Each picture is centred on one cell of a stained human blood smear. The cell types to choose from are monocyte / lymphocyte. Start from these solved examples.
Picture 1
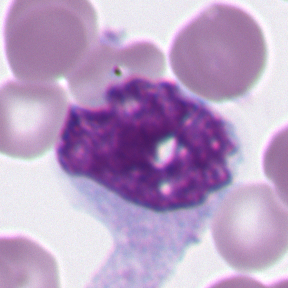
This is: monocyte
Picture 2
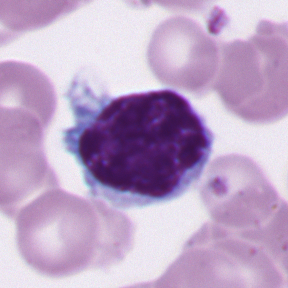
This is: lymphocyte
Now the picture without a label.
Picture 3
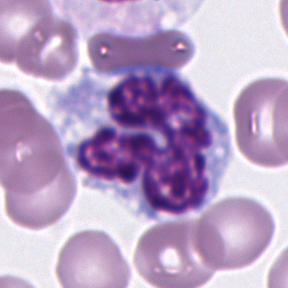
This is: monocyte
